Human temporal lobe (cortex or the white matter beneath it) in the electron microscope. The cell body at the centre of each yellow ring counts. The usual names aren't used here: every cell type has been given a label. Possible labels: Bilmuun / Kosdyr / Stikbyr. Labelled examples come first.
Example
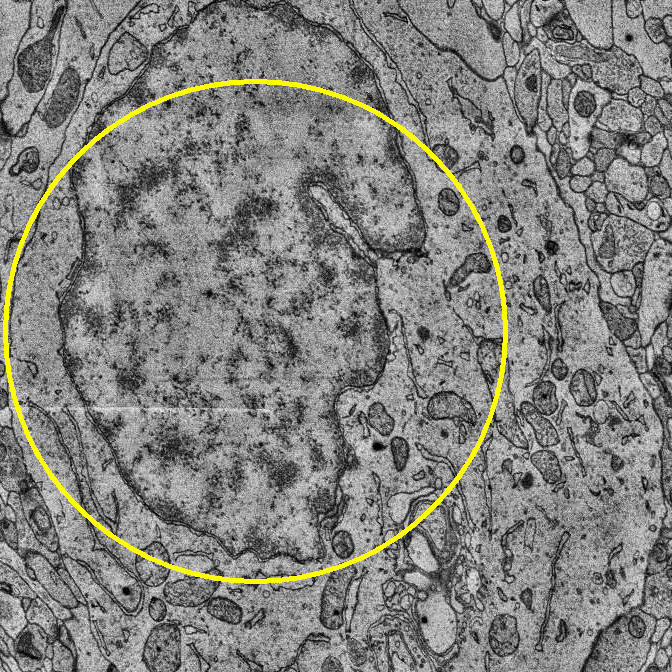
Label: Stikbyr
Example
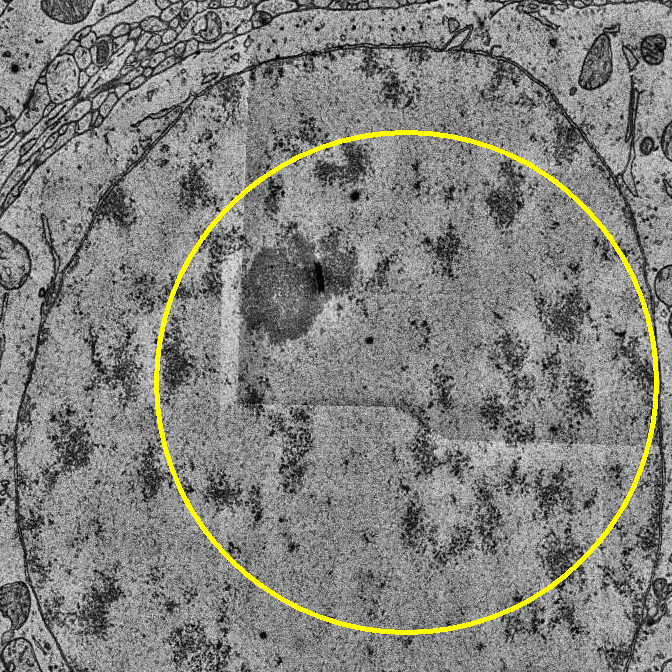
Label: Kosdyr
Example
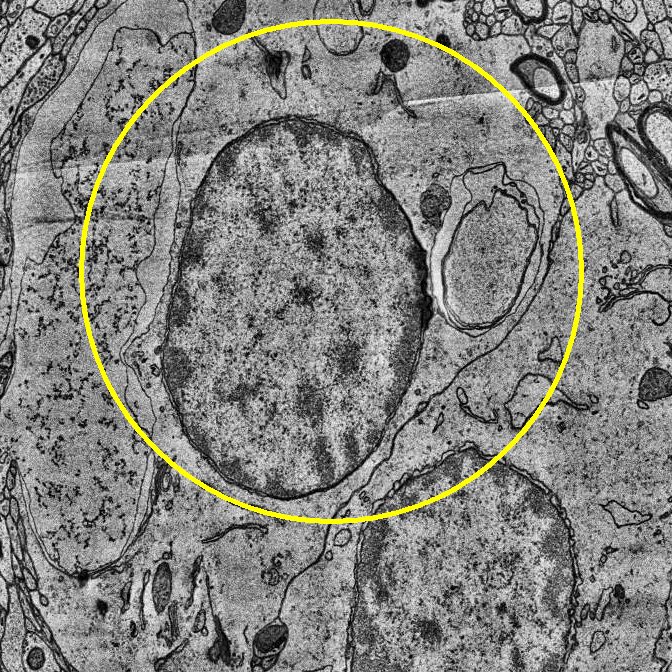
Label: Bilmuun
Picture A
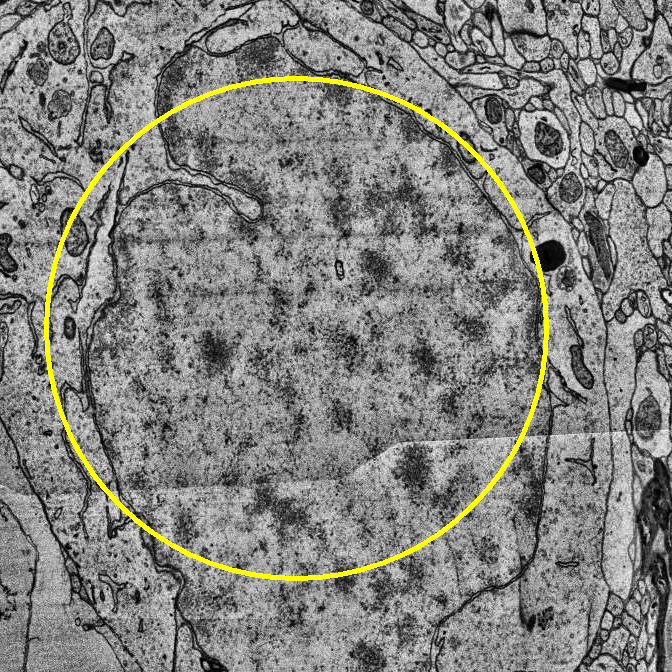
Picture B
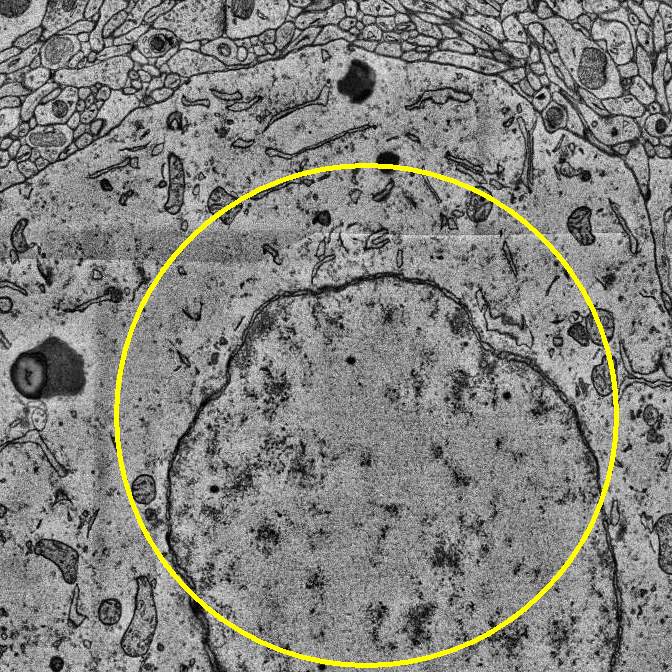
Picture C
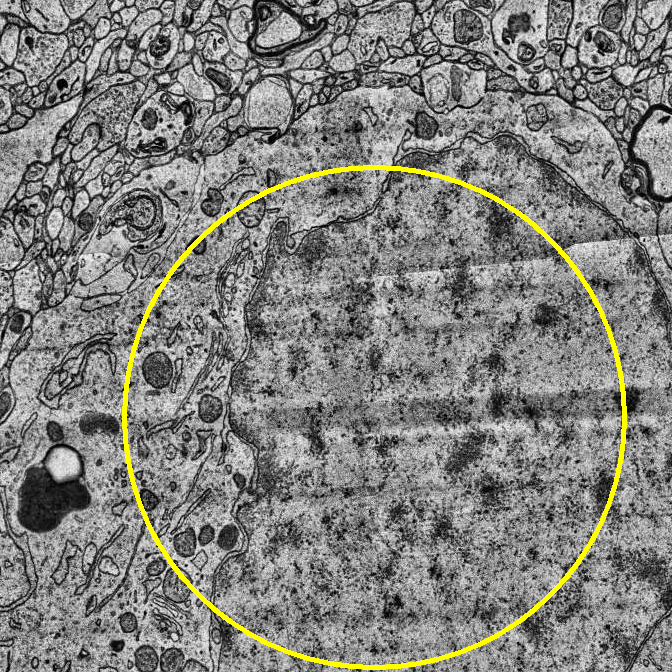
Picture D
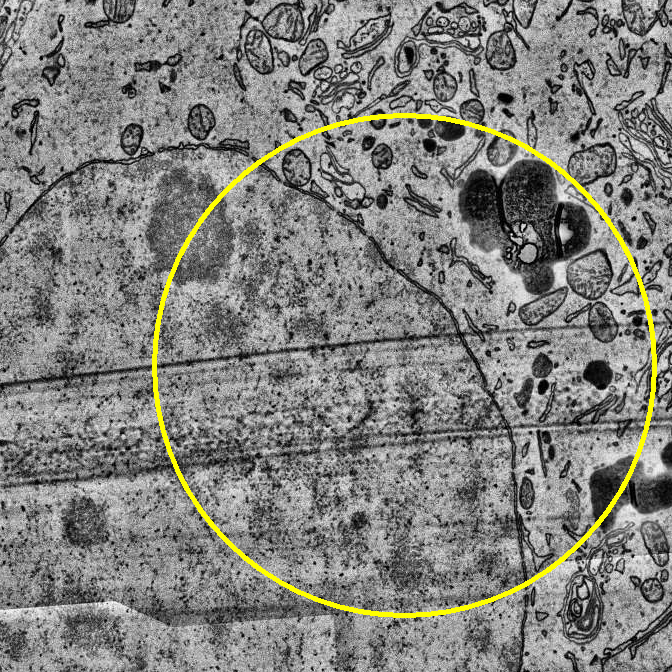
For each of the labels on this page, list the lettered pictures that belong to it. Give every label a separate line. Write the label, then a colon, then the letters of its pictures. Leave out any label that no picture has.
Kosdyr: B
Stikbyr: A, C, D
